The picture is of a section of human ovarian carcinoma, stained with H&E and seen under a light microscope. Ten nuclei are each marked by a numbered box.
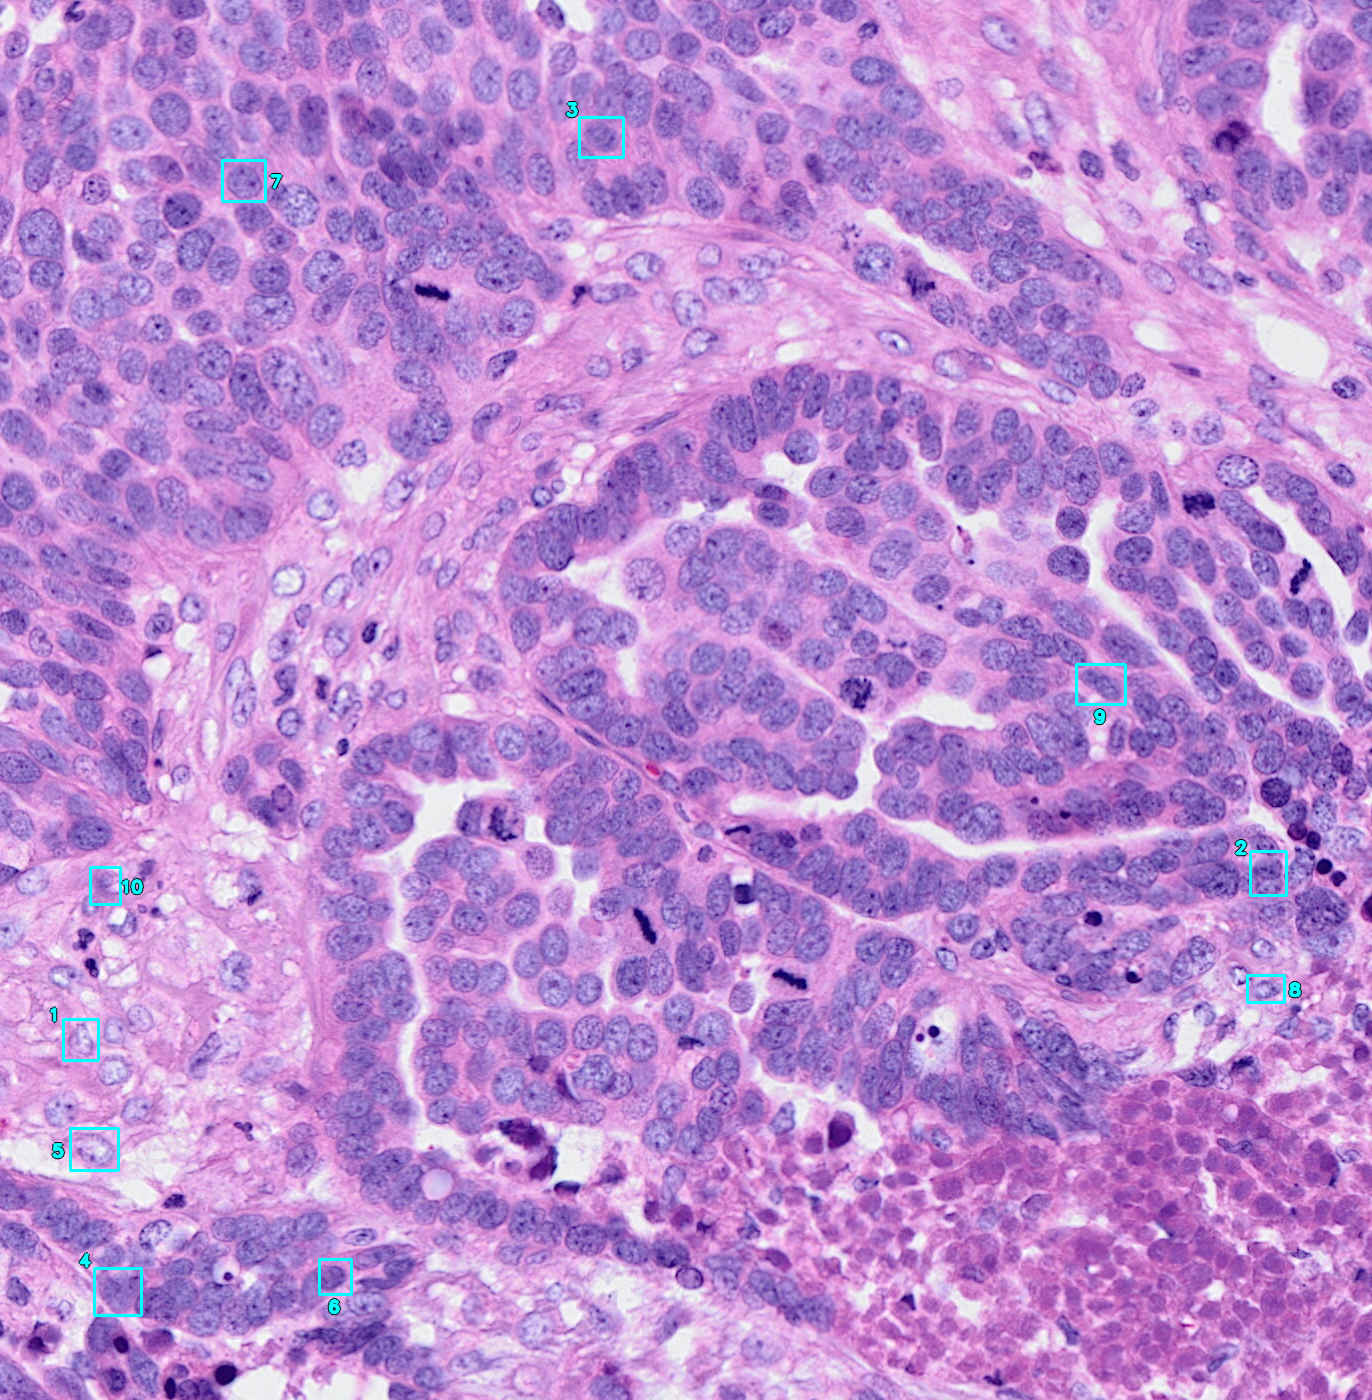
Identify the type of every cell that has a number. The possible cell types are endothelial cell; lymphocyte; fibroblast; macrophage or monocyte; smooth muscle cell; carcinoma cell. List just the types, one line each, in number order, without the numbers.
fibroblast
carcinoma cell
carcinoma cell
carcinoma cell
fibroblast
carcinoma cell
carcinoma cell
fibroblast
carcinoma cell
fibroblast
